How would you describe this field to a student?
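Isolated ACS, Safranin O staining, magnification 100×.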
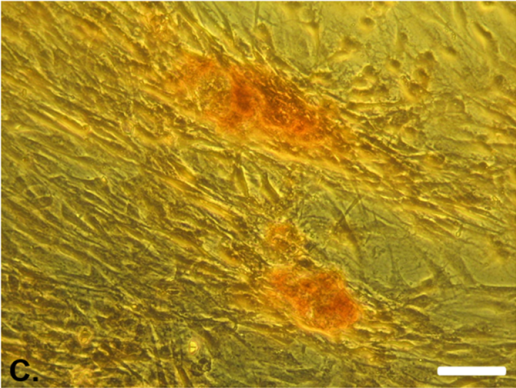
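A dense layer of elongated, spindle-shaped cells runs in parallel streams across the field. Within it sit two compact clusters of cells stained orange-red, the chondrogenic nodules, which stand out against the faintly yellow surrounding cells.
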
